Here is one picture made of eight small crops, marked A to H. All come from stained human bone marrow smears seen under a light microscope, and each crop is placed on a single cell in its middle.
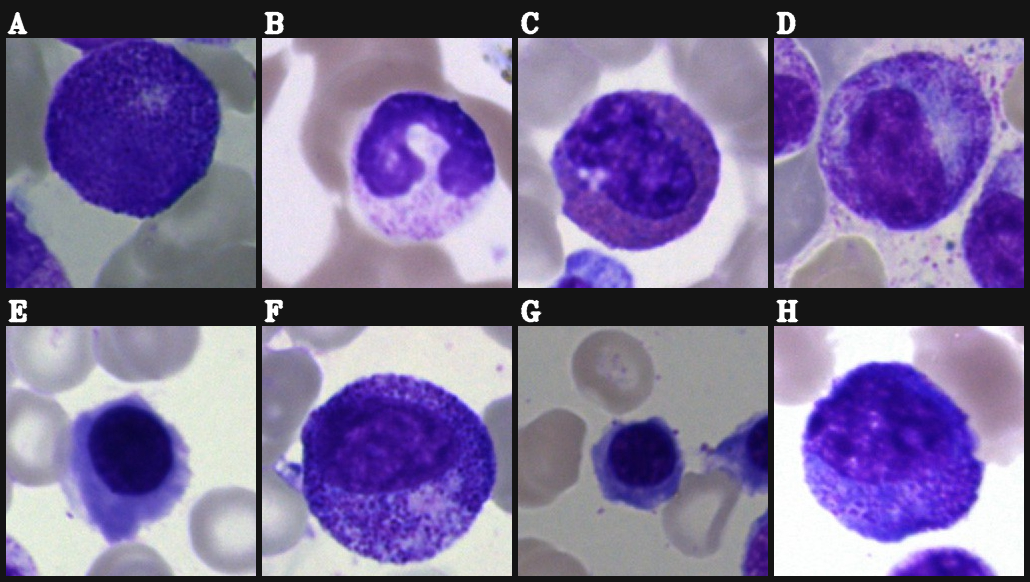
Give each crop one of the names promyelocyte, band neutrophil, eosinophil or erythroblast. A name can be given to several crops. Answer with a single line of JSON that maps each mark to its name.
{"A": "promyelocyte", "B": "band neutrophil", "C": "eosinophil", "D": "promyelocyte", "E": "erythroblast", "F": "promyelocyte", "G": "erythroblast", "H": "promyelocyte"}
